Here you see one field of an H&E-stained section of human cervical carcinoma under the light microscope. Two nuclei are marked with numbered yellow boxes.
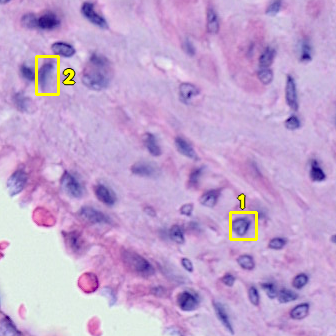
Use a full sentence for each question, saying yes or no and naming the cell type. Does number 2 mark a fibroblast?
Yes, number 2 corresponds to a fibroblast.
